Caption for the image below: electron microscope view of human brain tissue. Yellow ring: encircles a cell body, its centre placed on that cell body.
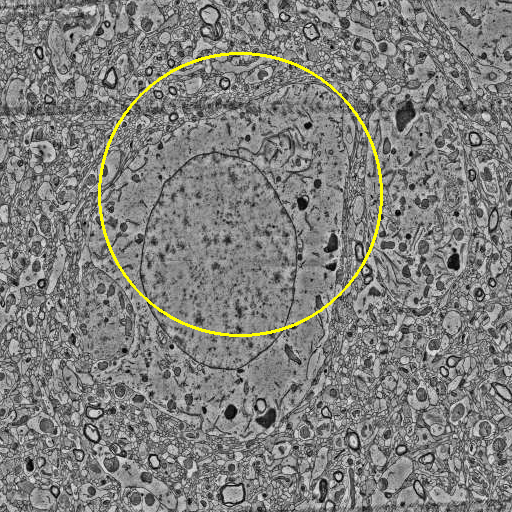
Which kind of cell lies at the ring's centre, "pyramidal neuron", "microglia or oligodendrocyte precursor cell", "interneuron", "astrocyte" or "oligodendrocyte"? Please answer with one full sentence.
The picture shows a pyramidal neuron at the centre of the yellow ring.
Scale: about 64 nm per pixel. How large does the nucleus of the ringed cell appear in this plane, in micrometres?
The nucleus appears roughly 14 by 10 micrometres in this plane.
